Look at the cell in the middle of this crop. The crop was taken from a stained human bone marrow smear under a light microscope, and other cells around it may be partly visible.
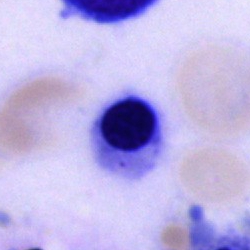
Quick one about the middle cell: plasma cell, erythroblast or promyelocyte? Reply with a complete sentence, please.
The cell in the exact centre of the crop is an erythroblast.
